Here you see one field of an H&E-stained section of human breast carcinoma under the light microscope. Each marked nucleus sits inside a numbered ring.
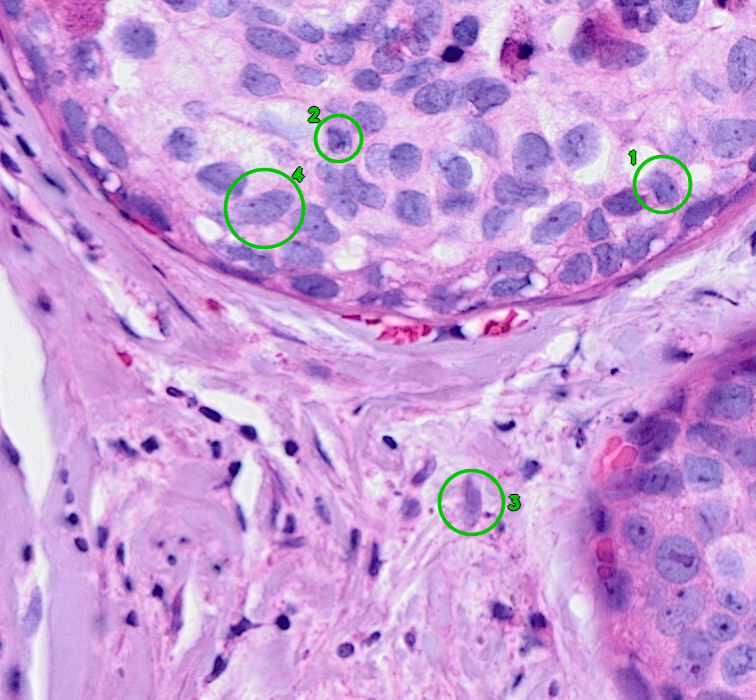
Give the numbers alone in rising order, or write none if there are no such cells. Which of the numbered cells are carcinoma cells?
1, 2, 4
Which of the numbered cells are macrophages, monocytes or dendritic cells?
none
